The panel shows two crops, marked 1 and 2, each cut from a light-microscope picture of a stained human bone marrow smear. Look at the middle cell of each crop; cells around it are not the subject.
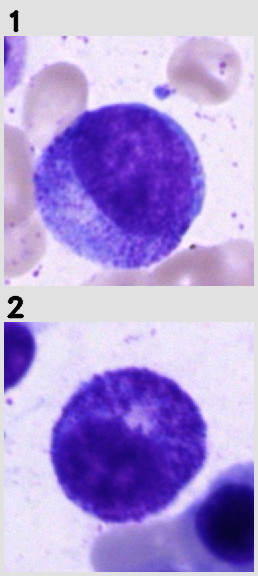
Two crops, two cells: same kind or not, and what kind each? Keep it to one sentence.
Yes, the two crops both show promyelocytes.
